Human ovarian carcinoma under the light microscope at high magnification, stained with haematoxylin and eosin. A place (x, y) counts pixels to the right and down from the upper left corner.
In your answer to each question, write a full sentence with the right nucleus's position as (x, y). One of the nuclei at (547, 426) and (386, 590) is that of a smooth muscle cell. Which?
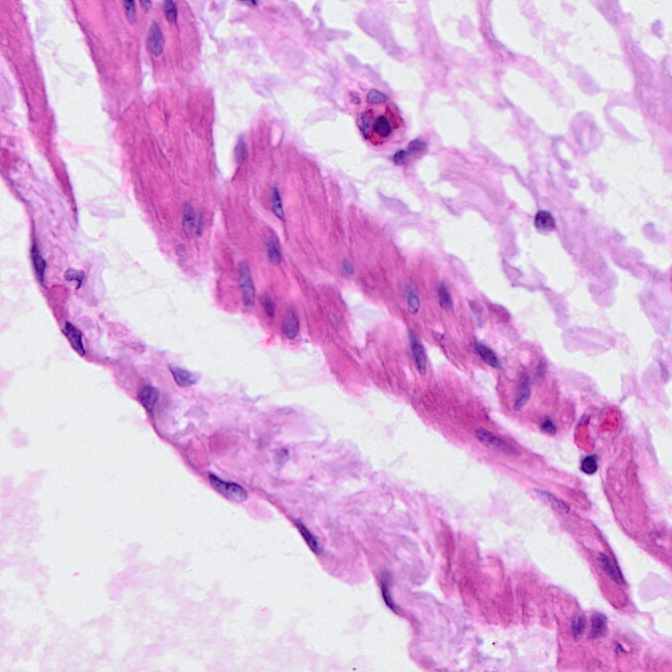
The member of the pair belonging to a smooth muscle cell is the nucleus at (547, 426).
